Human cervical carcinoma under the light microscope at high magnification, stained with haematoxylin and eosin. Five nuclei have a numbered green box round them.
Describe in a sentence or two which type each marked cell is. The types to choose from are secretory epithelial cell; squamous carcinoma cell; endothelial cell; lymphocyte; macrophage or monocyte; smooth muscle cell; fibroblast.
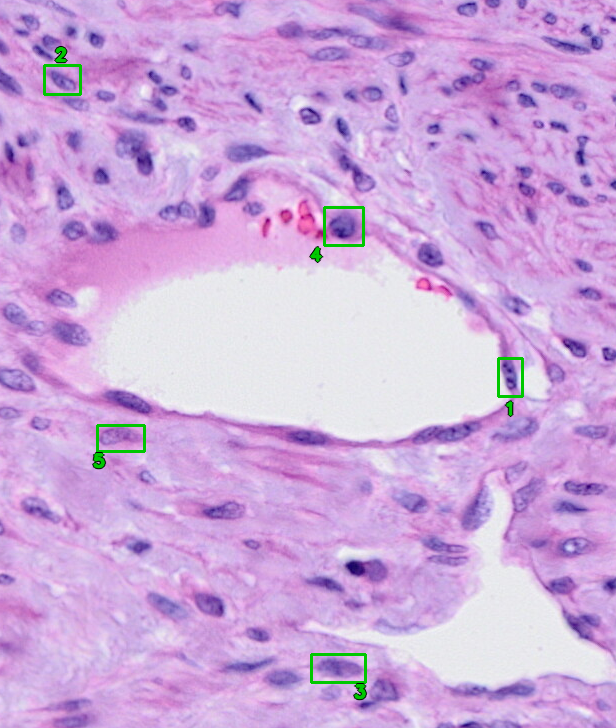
Cell 1 is an endothelial cell, cell 2 is a smooth muscle cell, cell 3 is a fibroblast, cell 4 is an endothelial cell and cell 5 is a smooth muscle cell.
